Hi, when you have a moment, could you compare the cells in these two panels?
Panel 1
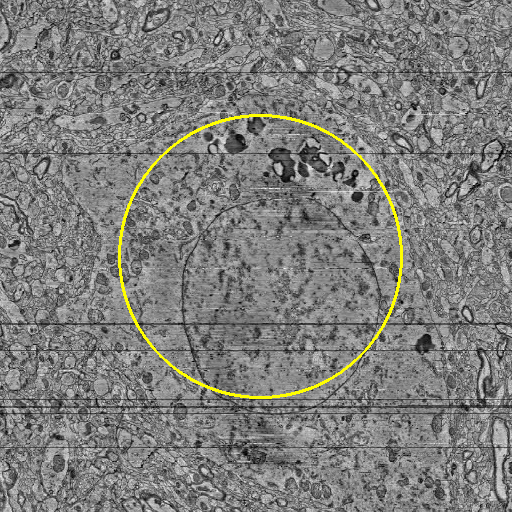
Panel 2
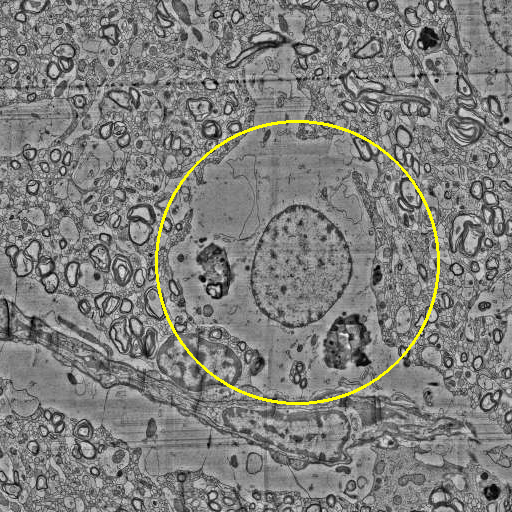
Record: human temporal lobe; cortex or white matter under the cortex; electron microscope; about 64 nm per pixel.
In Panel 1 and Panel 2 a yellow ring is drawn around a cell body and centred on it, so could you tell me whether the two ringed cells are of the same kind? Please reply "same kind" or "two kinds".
two kinds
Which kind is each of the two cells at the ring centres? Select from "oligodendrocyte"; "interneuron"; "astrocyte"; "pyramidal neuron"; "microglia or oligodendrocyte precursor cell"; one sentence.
The cell at the centre of the ring is a pyramidal neuron in the first picture and an astrocyte in the second.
